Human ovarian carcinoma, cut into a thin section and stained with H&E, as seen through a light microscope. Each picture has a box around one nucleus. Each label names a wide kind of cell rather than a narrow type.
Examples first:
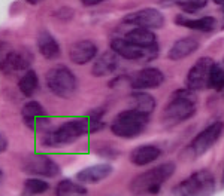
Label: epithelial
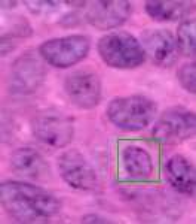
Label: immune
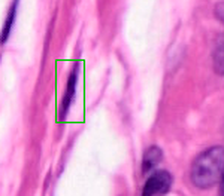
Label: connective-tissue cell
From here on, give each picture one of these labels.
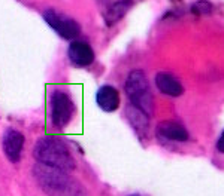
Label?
epithelial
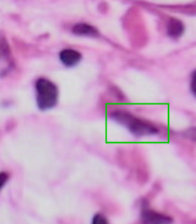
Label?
connective-tissue cell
